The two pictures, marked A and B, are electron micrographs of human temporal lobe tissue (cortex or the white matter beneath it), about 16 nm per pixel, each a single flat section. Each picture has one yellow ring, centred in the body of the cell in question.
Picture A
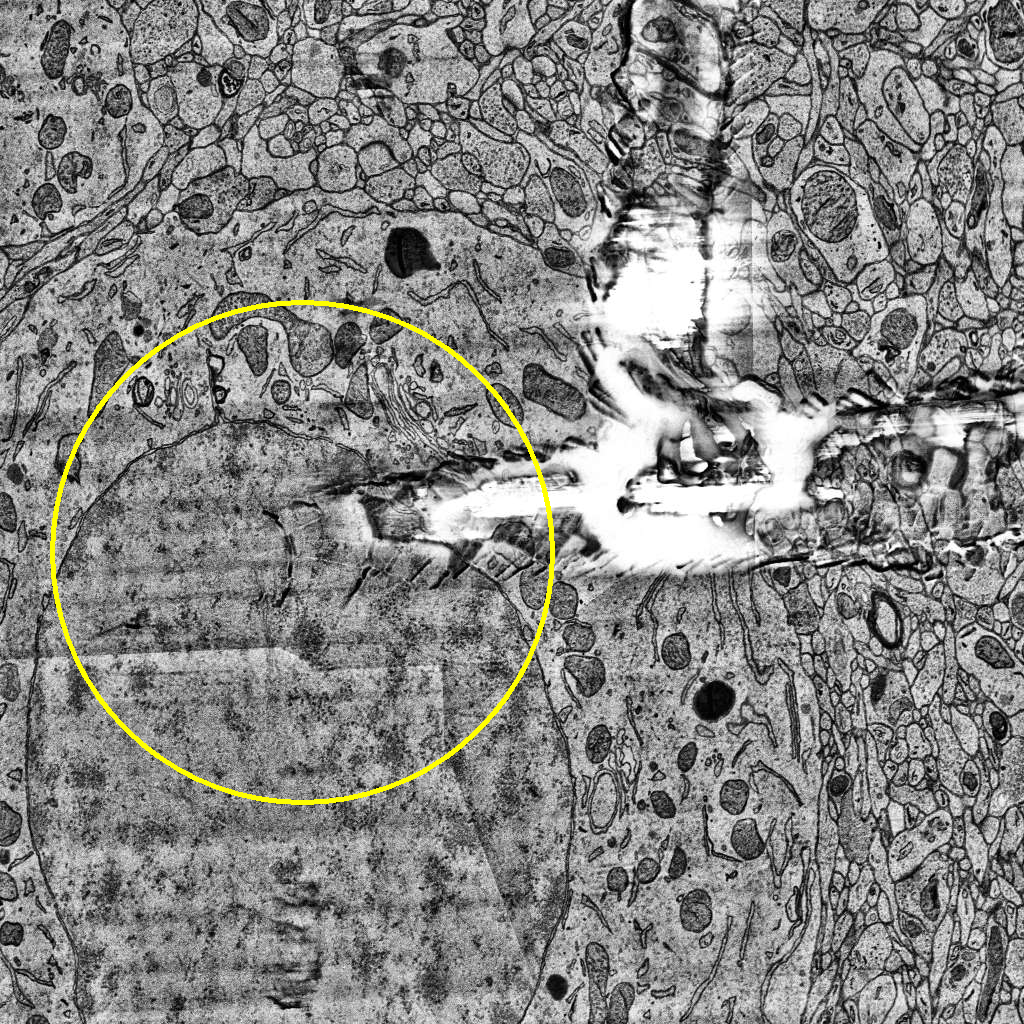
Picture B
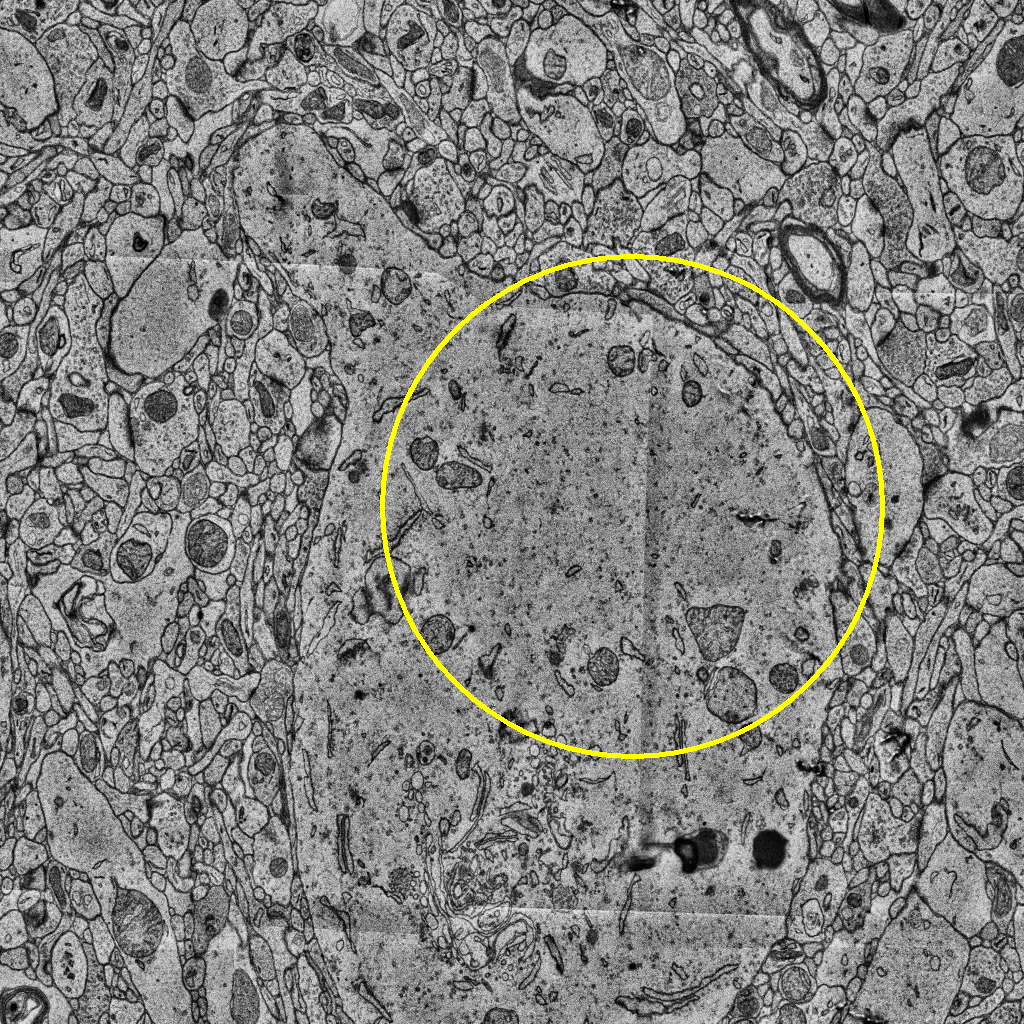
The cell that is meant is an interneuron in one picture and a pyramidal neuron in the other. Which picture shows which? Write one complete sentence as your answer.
In picture A the cell is an interneuron; in picture B, a pyramidal neuron.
